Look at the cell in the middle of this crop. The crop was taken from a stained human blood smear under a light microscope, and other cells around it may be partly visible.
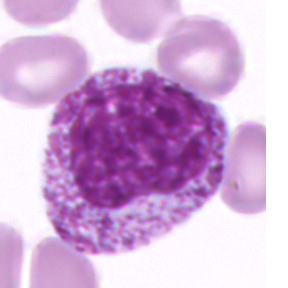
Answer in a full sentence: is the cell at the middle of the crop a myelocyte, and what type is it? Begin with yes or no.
Yes, the middle cell here is a myelocyte.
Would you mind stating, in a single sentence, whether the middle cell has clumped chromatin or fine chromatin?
In this nucleus, the chromatin is arranged in coarse clumps.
